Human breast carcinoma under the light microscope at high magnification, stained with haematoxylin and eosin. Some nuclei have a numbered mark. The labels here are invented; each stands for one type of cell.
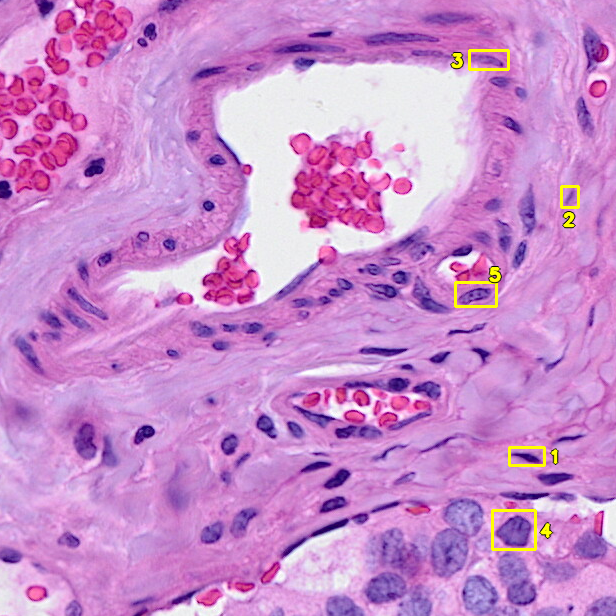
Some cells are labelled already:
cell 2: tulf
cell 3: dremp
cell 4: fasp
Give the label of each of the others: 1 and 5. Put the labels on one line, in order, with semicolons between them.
tulf; dremp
